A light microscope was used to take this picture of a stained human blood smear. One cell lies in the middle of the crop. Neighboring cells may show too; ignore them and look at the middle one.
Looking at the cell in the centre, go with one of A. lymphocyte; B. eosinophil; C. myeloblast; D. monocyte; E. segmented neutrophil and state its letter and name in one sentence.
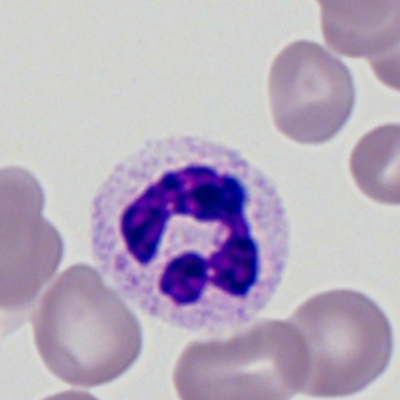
Option E holds up: the cell in the middle is a segmented neutrophil.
